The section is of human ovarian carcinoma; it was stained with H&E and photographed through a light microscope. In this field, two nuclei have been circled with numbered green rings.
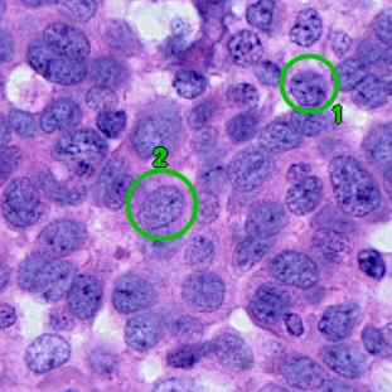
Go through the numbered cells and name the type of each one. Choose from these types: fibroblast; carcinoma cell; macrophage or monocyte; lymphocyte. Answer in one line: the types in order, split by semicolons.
macrophage or monocyte; carcinoma cell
